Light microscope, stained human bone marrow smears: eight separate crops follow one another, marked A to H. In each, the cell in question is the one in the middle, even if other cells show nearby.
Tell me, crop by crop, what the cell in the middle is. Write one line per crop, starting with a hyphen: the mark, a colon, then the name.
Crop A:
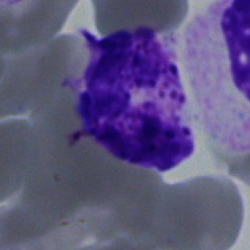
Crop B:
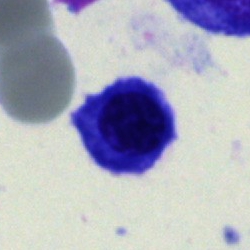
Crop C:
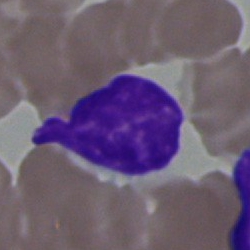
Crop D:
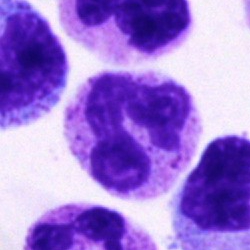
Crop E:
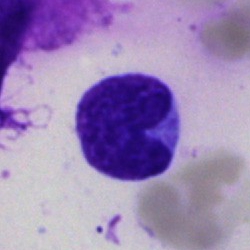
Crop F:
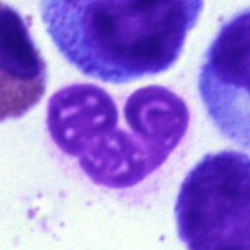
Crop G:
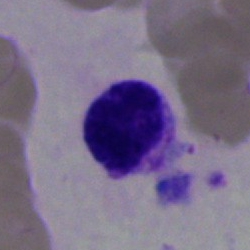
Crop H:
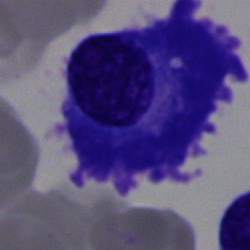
- A: basophil
- B: plasma cell
- C: lymphocyte
- D: segmented neutrophil
- E: lymphocyte
- F: band neutrophil
- G: basophil
- H: plasma cell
